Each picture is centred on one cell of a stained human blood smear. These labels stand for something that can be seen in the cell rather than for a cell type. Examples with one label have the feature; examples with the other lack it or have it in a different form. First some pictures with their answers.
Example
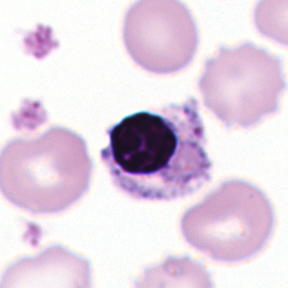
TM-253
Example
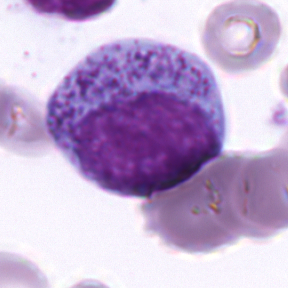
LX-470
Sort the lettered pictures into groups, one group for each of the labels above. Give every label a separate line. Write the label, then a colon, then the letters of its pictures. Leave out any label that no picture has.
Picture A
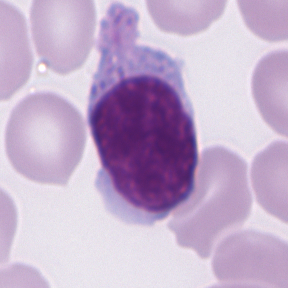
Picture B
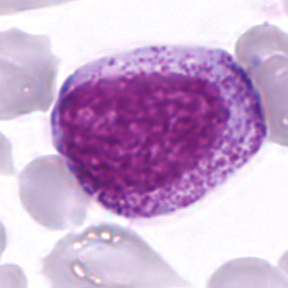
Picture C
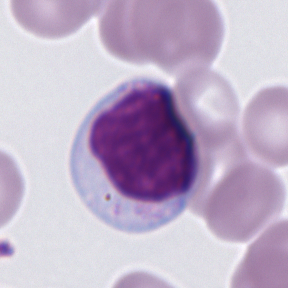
TM-253: A
LX-470: B, C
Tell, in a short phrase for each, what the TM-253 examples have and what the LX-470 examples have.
Seen in TM-253: ragged outline or projections; seen in LX-470: smooth outline.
